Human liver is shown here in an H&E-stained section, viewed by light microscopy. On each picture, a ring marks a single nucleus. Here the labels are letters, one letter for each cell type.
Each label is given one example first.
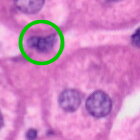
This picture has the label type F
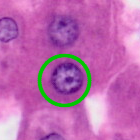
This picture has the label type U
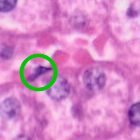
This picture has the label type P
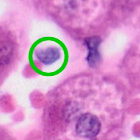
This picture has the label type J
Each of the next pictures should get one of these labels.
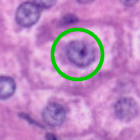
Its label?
type U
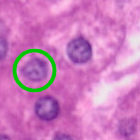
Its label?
type U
